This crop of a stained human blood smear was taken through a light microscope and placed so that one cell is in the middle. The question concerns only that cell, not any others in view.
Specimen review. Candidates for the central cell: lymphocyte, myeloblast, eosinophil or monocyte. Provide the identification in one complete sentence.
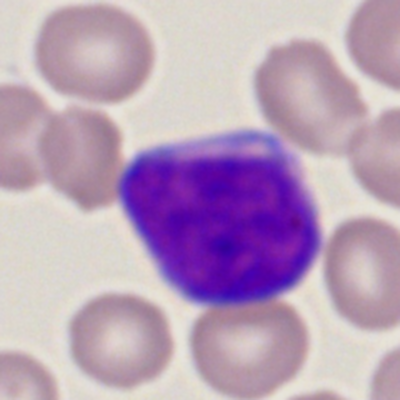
Seen at the centre of the crop is a myeloblast.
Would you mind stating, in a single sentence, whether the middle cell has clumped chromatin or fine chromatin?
This nucleus has coarsely clumped chromatin.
